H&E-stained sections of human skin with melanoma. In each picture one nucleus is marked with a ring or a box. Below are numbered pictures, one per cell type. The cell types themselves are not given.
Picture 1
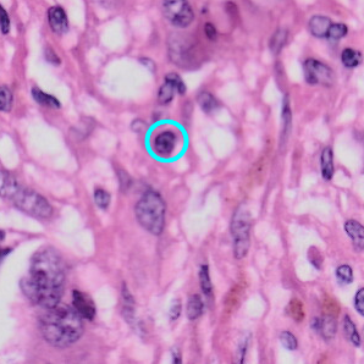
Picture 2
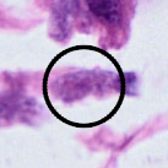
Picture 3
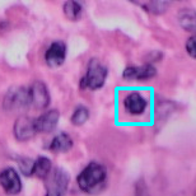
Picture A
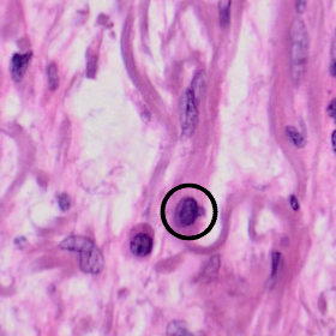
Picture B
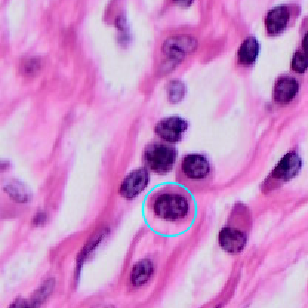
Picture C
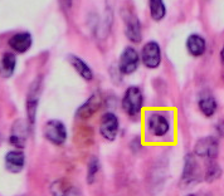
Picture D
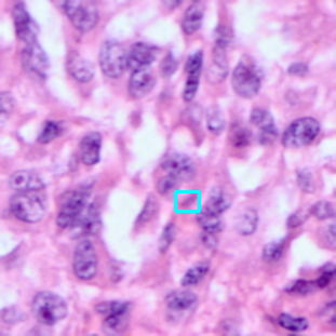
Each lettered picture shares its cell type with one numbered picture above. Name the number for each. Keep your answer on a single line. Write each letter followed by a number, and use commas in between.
A 1, B 1, C 1, D 2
